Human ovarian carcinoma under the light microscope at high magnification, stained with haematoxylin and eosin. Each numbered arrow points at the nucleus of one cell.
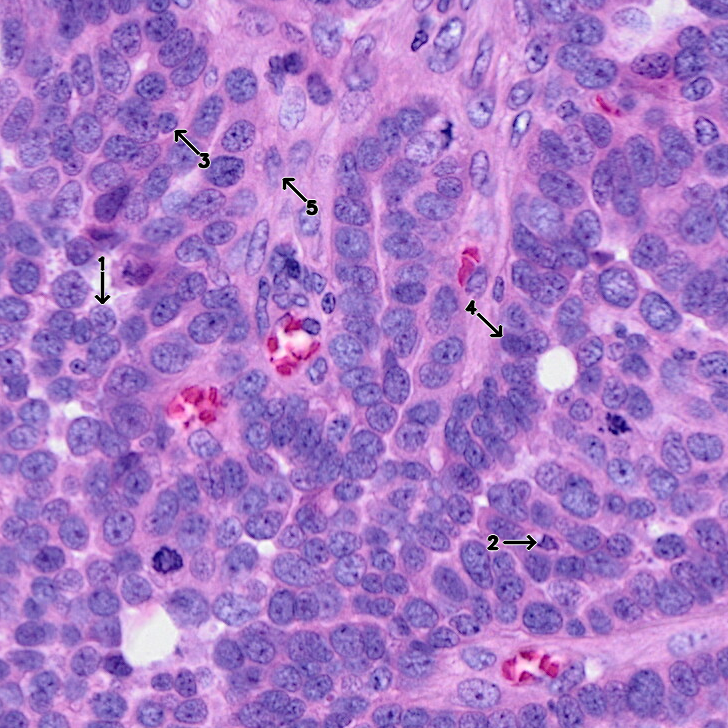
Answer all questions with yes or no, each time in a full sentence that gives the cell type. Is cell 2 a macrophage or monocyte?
Yes, kindly take note: the cell numbered 2 is a macrophage or monocyte.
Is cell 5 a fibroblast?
Yes, the cell labelled with number 5 is a fibroblast.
